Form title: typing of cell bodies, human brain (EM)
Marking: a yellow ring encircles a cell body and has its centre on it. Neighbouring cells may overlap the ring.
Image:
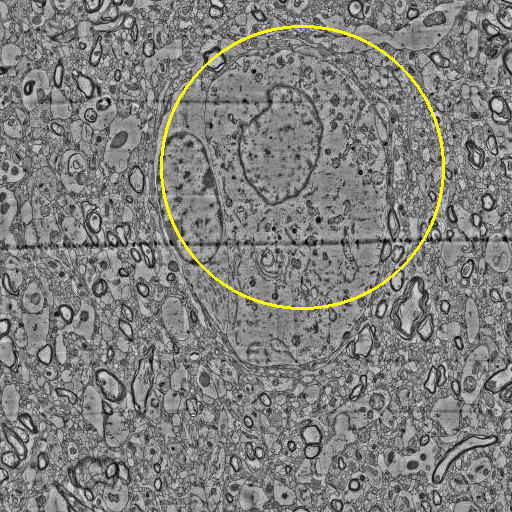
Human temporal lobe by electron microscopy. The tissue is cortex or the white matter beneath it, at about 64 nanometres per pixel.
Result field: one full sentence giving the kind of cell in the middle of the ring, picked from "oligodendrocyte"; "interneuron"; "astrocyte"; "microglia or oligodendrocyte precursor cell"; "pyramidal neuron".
In the picture, the ring is centred on a pyramidal neuron, whose cell body it encircles.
